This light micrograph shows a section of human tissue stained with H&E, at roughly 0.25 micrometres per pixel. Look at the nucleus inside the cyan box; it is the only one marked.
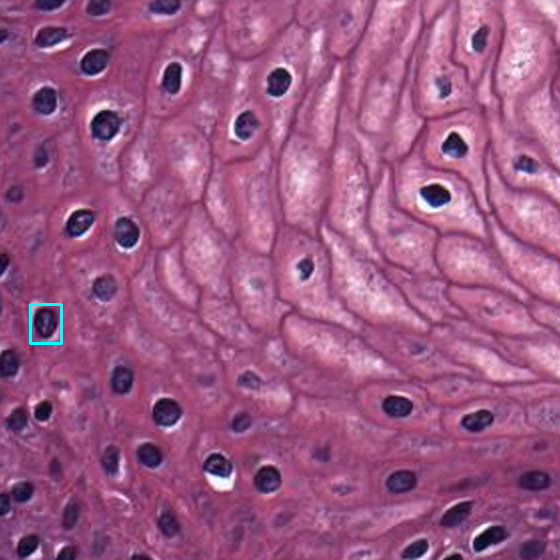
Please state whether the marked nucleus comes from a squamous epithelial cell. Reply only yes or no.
yes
